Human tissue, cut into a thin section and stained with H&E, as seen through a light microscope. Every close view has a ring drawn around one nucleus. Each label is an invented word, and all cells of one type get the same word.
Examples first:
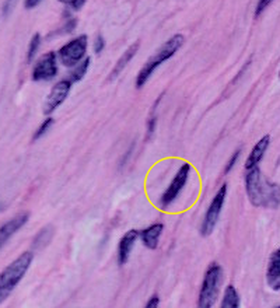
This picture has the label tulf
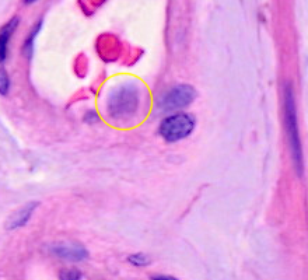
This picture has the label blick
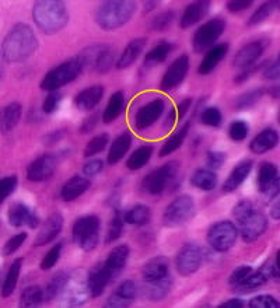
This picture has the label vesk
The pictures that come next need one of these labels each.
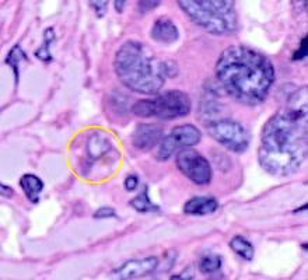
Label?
tulf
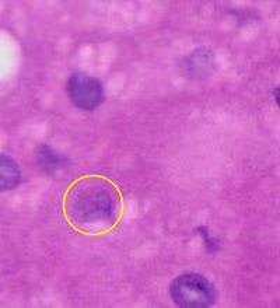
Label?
vesk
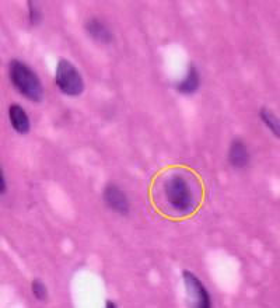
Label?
vesk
